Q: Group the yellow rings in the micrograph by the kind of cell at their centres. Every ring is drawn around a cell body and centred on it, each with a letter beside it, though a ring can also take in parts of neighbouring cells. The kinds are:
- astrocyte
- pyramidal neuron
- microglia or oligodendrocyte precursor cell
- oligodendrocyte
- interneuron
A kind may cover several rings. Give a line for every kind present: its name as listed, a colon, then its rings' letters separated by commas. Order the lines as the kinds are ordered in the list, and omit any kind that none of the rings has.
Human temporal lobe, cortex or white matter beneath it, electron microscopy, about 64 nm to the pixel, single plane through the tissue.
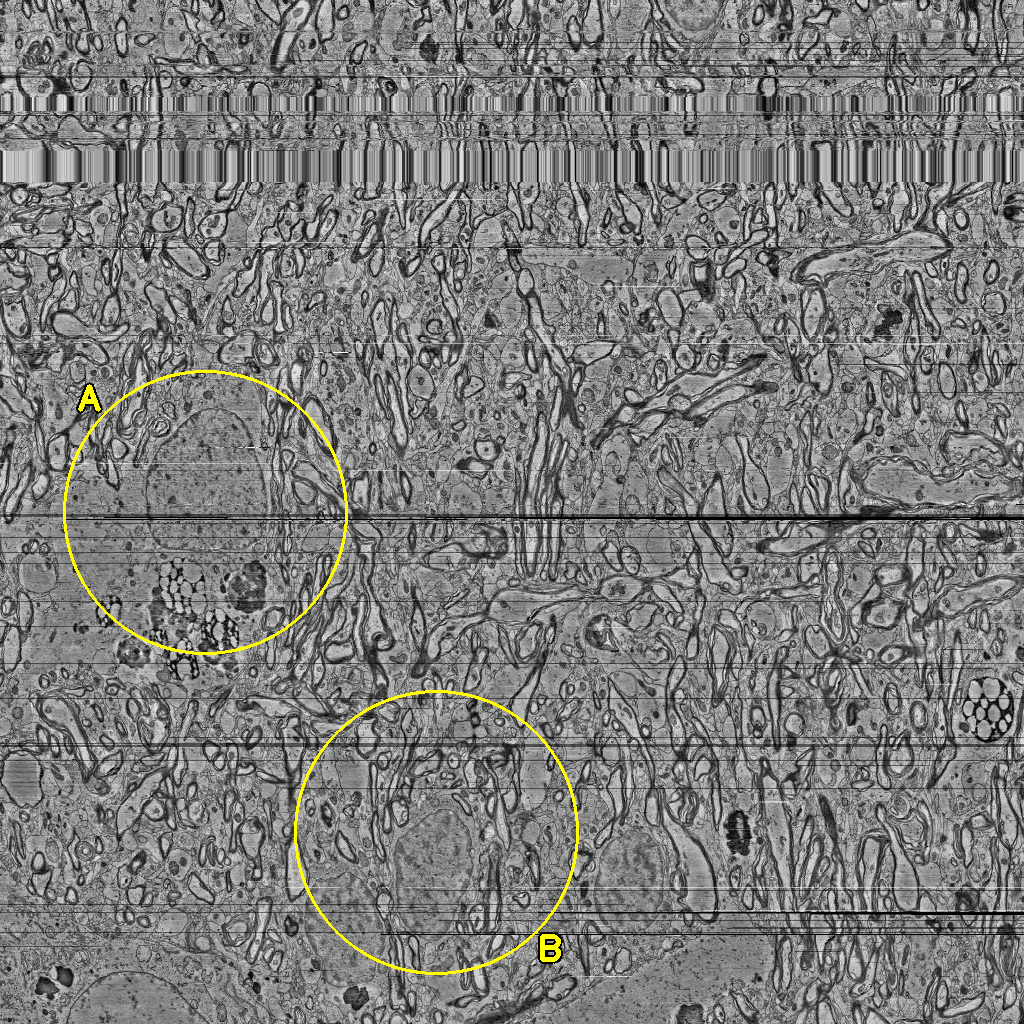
astrocyte: A
oligodendrocyte: B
